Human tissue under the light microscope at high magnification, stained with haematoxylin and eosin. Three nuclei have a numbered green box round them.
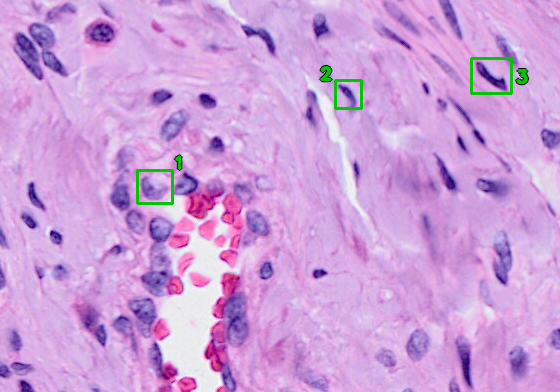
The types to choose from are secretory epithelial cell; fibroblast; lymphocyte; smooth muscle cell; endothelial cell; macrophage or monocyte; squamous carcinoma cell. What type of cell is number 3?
fibroblast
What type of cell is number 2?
fibroblast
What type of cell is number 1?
endothelial cell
